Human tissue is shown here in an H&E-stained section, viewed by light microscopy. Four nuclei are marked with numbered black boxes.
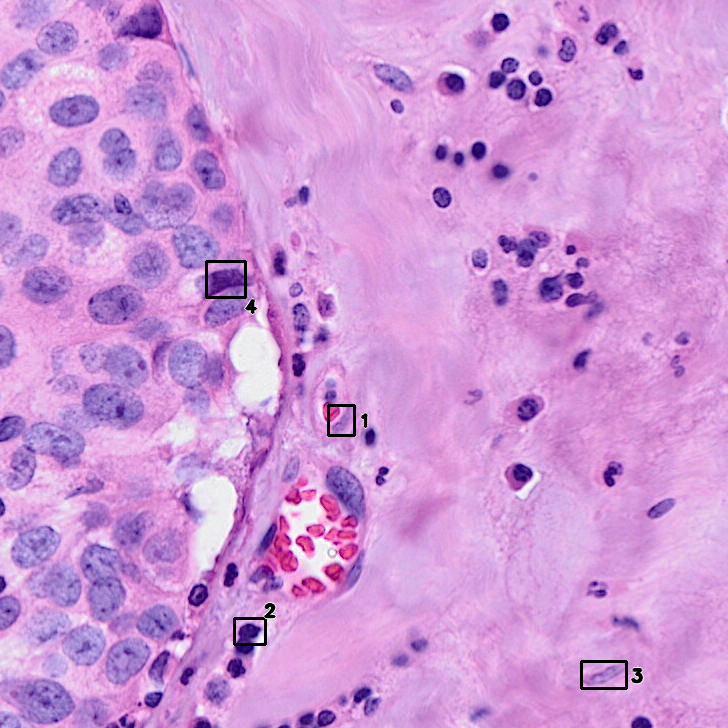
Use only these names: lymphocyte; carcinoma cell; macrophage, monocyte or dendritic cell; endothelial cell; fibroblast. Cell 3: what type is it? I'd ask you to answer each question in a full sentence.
The one labeled 3 is a fibroblast, to put it simply.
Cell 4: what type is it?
The cell indicated by marker 4 is a carcinoma cell in this section.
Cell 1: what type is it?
Cell 1, among those numbered, is an endothelial cell.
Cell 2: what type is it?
The cell assigned the number 2 is a lymphocyte.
